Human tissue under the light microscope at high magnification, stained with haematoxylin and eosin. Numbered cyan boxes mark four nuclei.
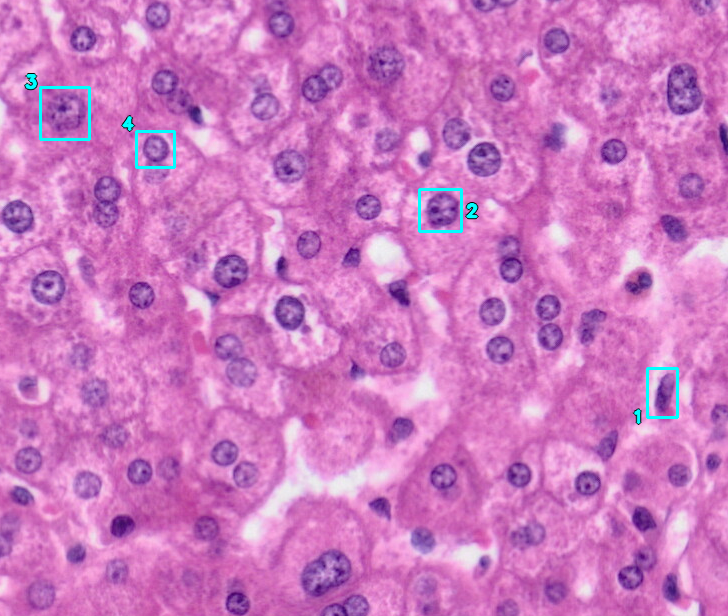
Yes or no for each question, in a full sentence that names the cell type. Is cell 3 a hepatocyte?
Yes, to put it simply, cell number 3 is a hepatocyte.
